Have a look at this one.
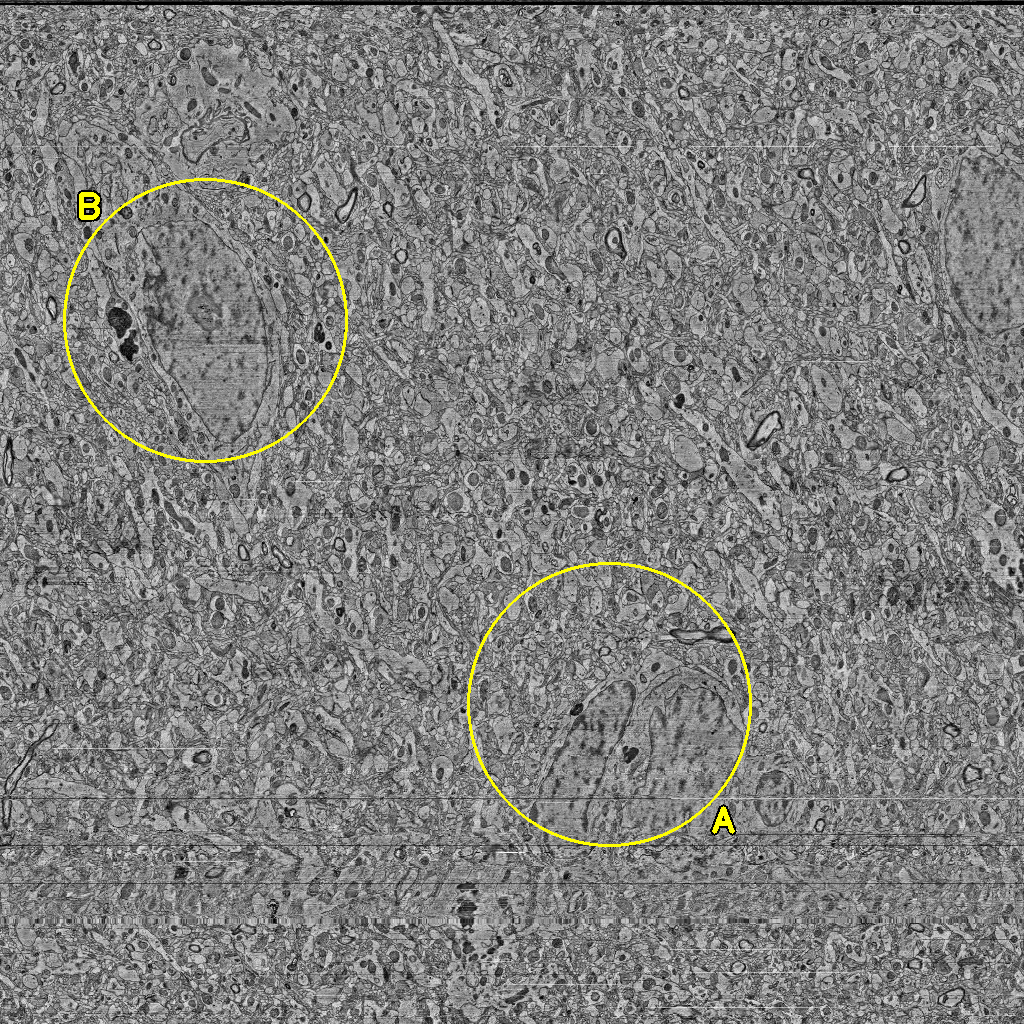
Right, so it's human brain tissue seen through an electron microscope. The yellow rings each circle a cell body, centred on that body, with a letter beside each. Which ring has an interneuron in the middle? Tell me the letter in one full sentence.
That kind of cell is sitting in the middle of ring B there.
